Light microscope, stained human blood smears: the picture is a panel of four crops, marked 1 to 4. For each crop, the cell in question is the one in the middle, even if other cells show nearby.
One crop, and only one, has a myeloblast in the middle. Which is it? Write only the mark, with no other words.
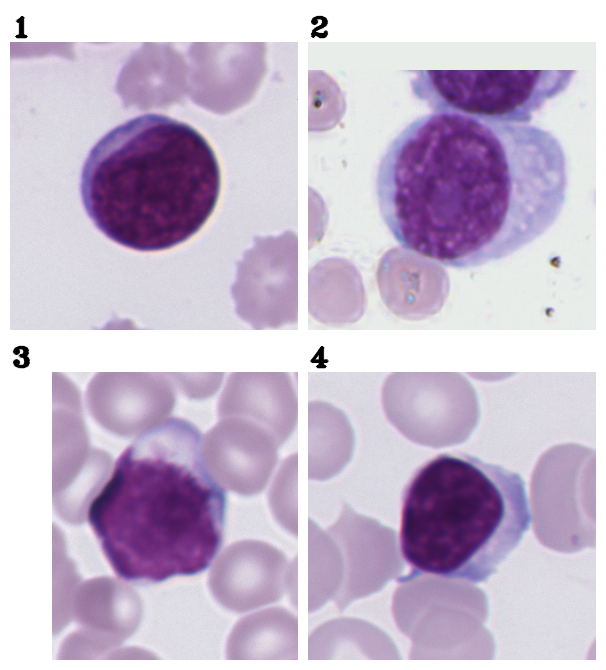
1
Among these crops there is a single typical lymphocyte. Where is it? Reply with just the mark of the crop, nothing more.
4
